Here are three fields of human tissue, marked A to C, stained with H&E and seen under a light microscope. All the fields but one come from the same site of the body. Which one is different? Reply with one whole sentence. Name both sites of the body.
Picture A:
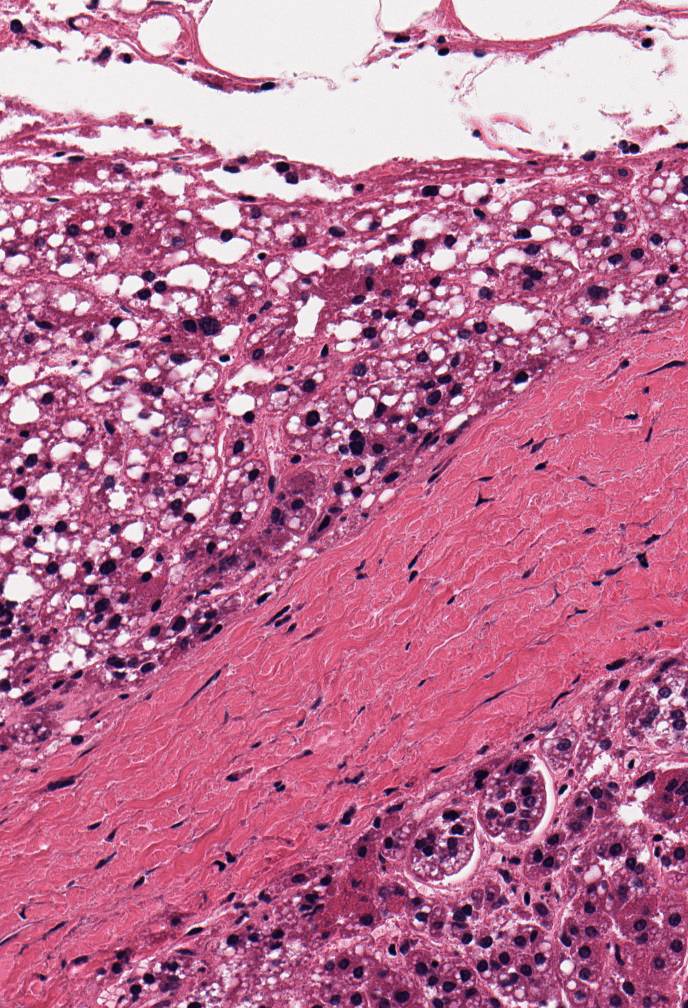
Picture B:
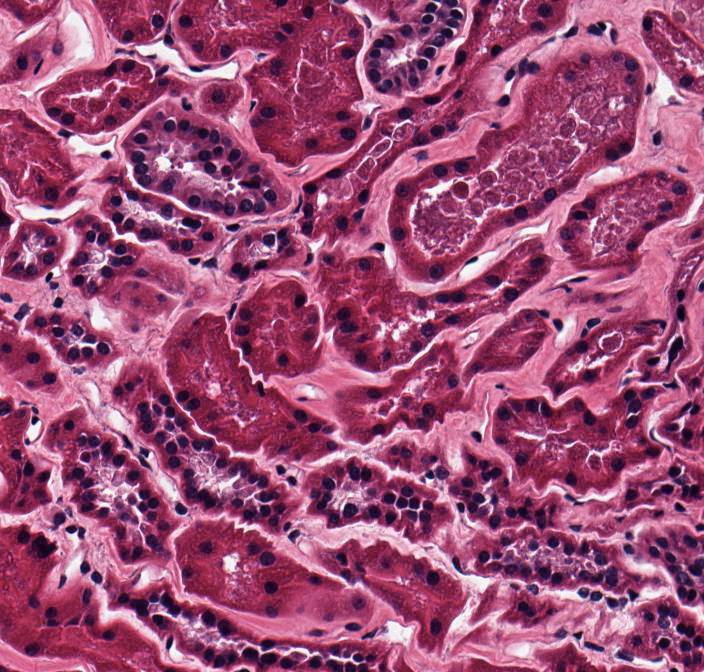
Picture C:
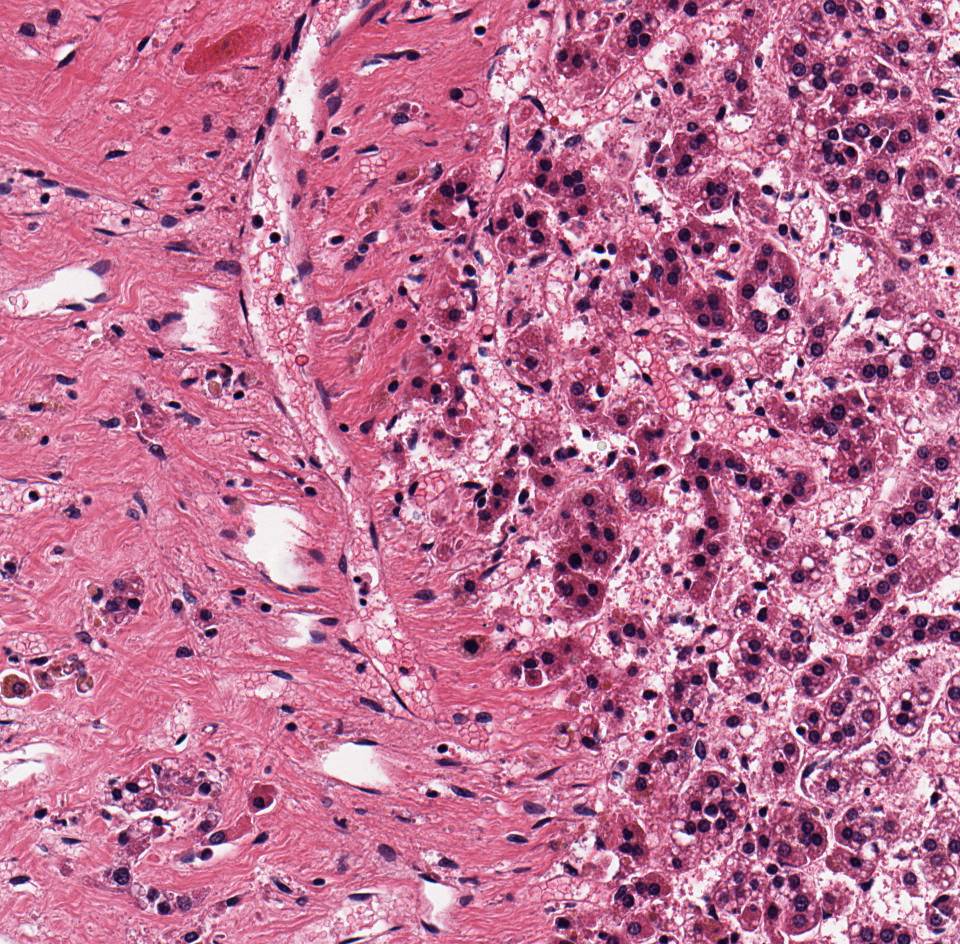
Picture B is the odd one out: it comes from the renal cortex, while the others come from the adrenal gland.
